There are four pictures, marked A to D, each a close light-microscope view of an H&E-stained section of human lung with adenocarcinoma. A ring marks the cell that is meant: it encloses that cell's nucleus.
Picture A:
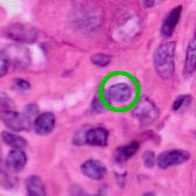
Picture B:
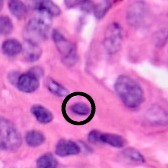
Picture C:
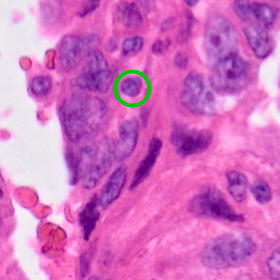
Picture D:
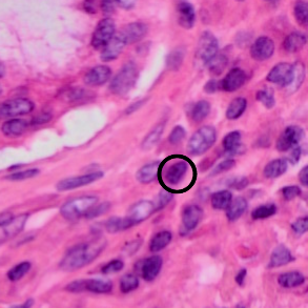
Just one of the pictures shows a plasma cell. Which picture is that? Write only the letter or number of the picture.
D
